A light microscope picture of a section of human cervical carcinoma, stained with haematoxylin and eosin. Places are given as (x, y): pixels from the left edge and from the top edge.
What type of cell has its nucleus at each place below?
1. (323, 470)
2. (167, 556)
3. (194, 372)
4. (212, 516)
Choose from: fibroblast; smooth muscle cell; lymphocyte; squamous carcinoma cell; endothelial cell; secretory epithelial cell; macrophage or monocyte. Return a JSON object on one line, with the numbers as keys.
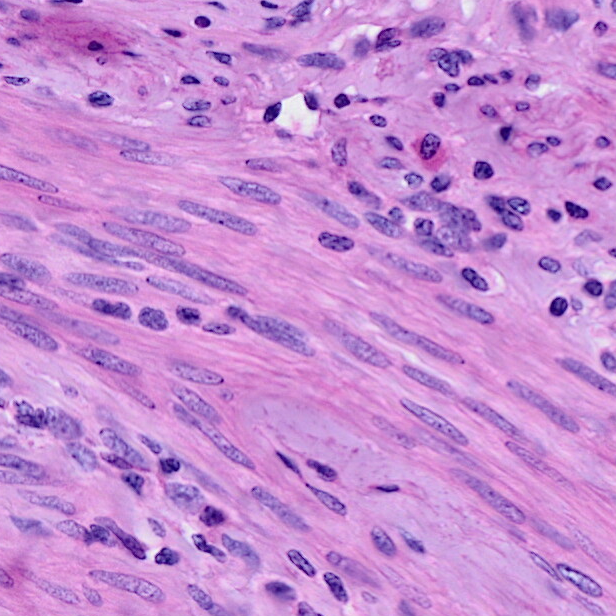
{"1": "smooth muscle cell", "2": "lymphocyte", "3": "smooth muscle cell", "4": "lymphocyte"}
